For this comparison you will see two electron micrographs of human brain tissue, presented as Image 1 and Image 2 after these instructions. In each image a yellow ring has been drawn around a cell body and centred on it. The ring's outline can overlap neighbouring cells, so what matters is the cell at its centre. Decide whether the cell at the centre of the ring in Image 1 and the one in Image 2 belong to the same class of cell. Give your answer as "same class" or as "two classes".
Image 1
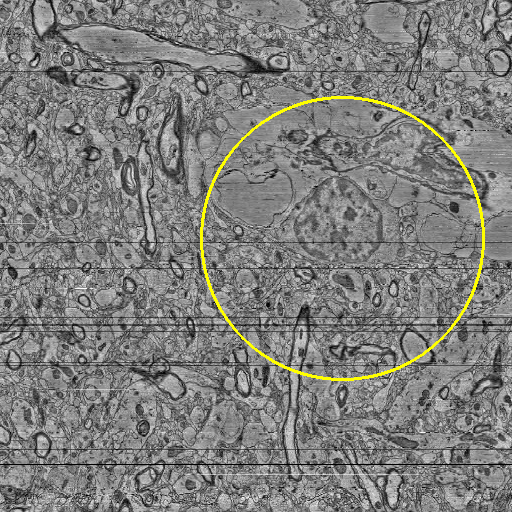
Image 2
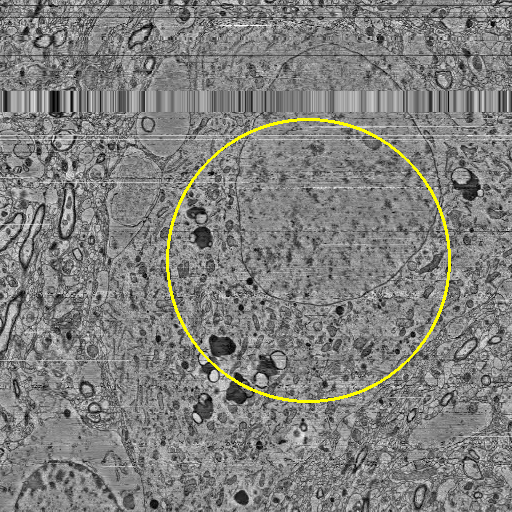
two classes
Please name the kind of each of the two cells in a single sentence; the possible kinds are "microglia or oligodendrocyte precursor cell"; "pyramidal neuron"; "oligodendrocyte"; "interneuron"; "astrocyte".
In the first picture the ring is centred on an oligodendrocyte, and in the second on a pyramidal neuron.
